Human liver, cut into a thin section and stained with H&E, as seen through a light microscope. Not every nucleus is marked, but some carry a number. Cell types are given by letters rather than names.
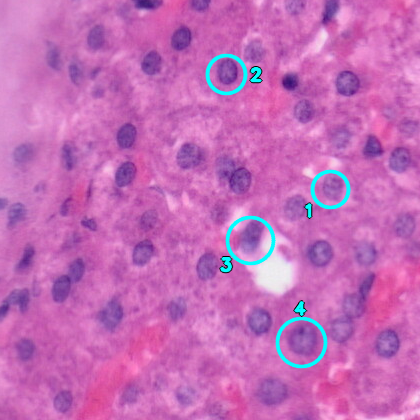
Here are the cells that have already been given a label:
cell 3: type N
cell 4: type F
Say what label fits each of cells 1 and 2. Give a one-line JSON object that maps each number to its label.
{"1": "type F", "2": "type F"}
